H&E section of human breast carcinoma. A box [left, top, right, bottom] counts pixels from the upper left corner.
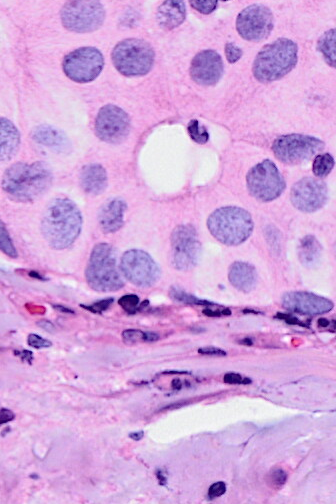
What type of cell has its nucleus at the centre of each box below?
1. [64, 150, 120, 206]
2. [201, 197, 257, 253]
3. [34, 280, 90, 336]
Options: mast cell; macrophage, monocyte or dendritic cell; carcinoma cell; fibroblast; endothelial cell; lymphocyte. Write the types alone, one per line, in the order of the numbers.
carcinoma cell
carcinoma cell
endothelial cell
